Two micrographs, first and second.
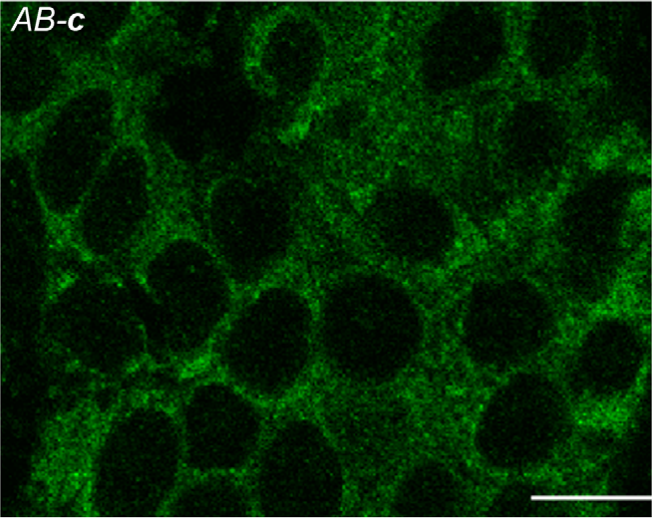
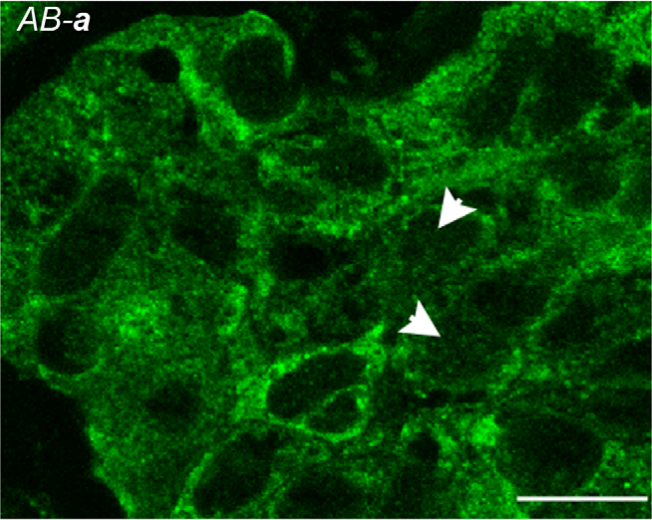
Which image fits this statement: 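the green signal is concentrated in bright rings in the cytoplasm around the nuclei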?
The second image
